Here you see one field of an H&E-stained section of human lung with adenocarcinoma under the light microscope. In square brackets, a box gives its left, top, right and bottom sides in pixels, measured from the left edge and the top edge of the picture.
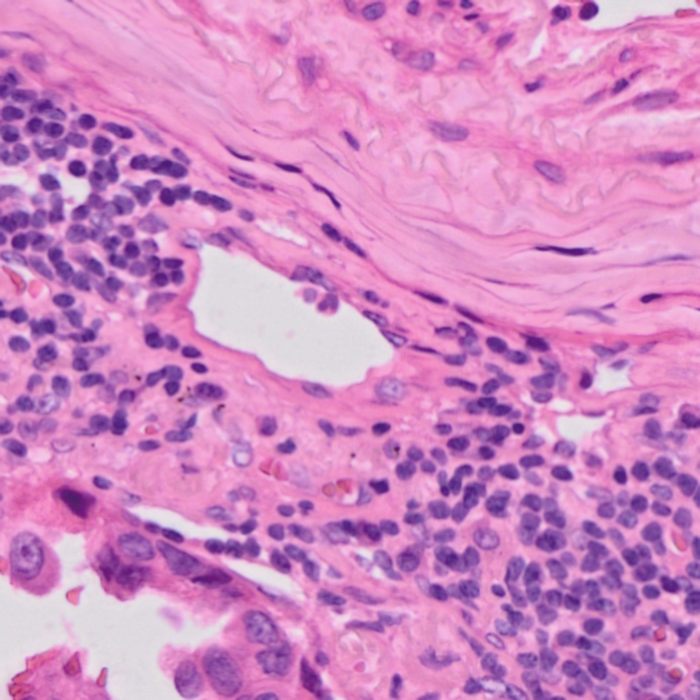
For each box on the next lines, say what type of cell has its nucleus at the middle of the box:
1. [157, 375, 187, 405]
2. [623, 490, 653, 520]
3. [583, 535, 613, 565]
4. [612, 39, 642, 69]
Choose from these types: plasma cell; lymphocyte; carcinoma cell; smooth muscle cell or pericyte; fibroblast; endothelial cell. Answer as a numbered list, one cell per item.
1. lymphocyte
2. lymphocyte
3. lymphocyte
4. smooth muscle cell or pericyte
